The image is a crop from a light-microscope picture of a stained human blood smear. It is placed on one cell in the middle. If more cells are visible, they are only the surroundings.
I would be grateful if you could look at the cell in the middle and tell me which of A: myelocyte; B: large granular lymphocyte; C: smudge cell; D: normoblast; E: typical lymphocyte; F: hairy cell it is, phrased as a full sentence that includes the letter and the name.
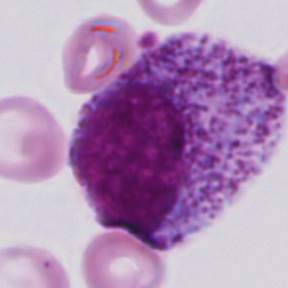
The cell in the middle is a myelocyte, so option A is correct.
